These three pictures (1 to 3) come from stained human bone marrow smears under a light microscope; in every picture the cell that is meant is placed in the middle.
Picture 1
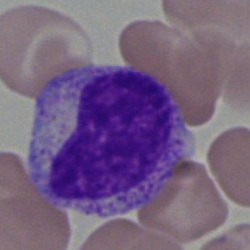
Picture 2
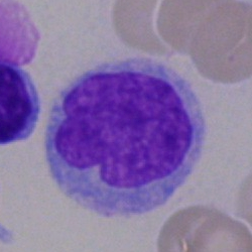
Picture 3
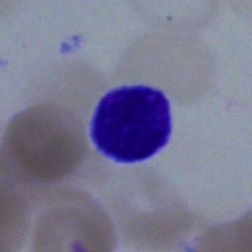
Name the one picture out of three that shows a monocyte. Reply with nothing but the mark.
2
